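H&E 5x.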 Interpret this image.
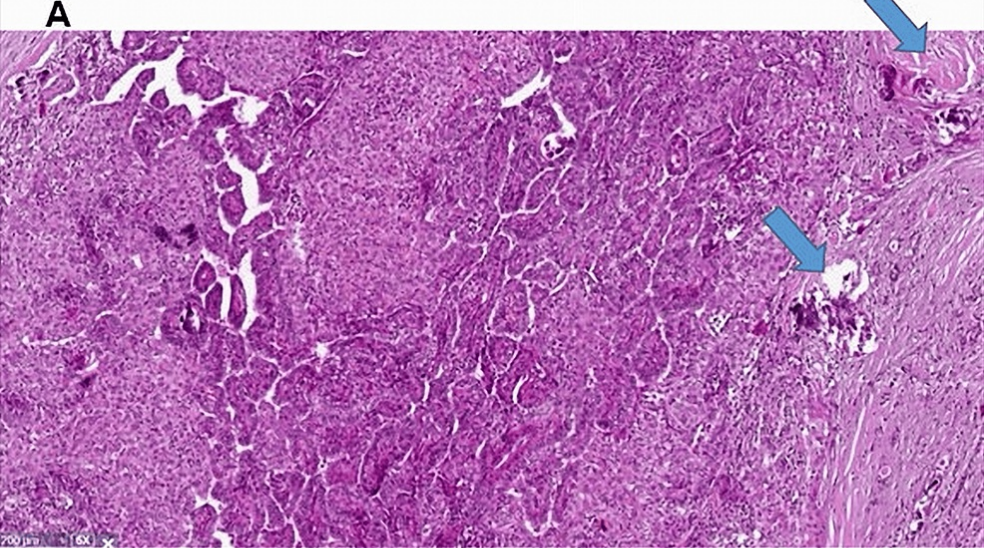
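This is a papillary carcinoma: crowded tumour cells form branching fronds separated by narrow clefts, filling most of the field. Here and there lie small, very dark purple clumps, the rounded calcifications called psammoma bodies, and at the right edge the tumour meets pale pink fibrous tissue.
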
